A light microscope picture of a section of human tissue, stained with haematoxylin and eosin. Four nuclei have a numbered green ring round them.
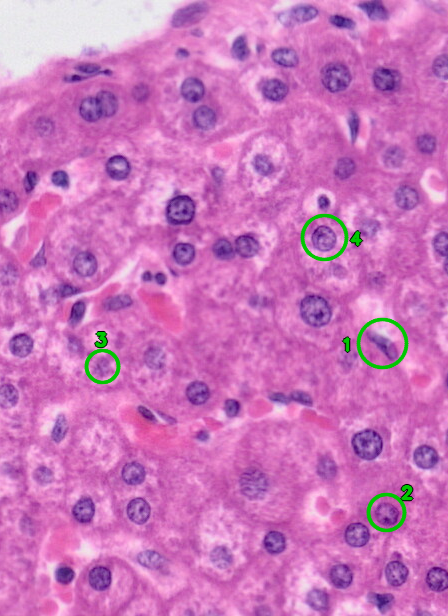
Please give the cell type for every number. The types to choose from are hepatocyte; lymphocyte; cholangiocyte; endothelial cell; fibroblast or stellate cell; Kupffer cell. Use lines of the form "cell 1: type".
cell 1: endothelial cell
cell 2: hepatocyte
cell 3: hepatocyte
cell 4: hepatocyte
